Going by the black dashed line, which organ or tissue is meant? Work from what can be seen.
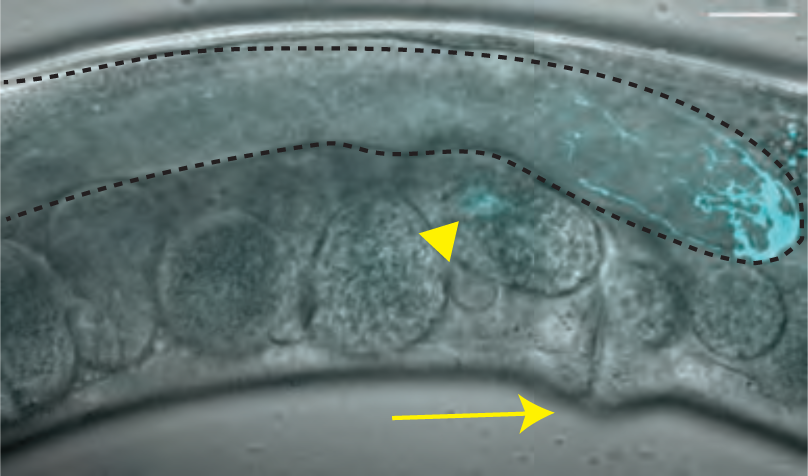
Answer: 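Gonads. A long tubular structure inside the body is traced by the dashed line.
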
